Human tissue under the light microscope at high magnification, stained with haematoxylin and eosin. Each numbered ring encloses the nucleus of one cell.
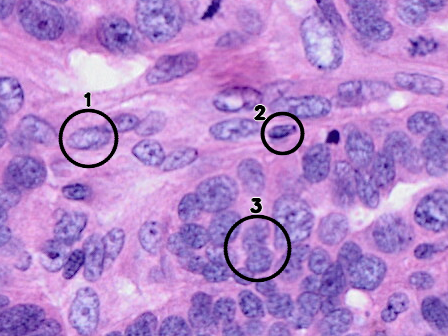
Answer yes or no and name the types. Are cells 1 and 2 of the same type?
No, cell 1 is a fibroblast whereas cell 2 is a lymphocyte.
